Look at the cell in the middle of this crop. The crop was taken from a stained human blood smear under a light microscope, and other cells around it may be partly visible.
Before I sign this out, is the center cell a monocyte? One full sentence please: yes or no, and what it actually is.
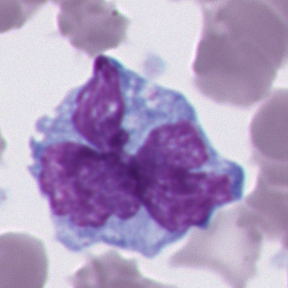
Yes, the centrally placed cell is a monocyte.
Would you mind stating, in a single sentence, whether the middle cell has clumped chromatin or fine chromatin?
Answer: the chromatin is fine and has no coarse clumps.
